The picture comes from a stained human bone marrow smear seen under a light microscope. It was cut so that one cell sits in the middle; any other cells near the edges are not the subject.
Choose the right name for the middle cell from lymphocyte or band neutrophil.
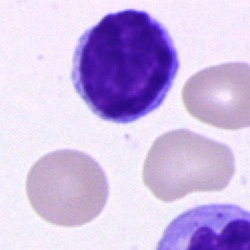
lymphocyte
